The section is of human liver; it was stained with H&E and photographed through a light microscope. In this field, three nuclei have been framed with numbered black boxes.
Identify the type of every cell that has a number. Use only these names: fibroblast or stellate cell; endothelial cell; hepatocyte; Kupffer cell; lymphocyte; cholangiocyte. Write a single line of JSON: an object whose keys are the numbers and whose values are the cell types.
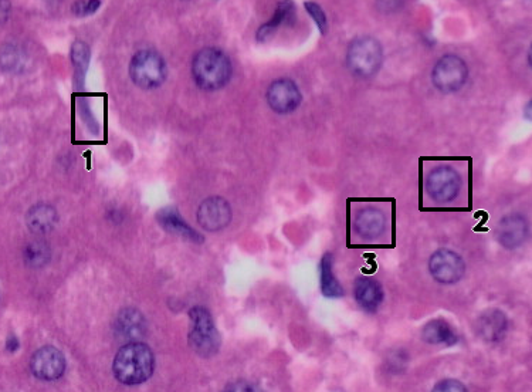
{"1": "Kupffer cell", "2": "hepatocyte", "3": "hepatocyte"}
